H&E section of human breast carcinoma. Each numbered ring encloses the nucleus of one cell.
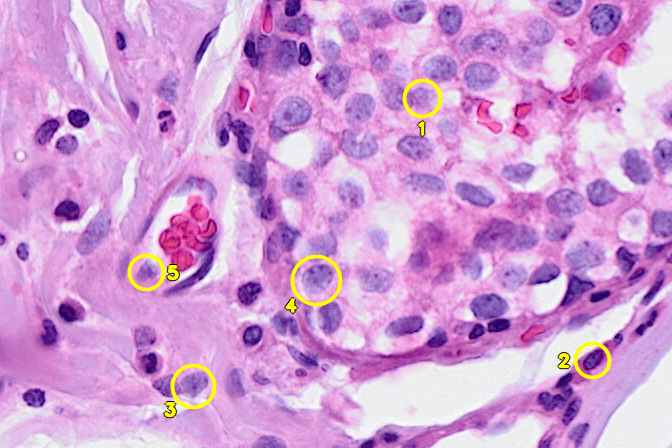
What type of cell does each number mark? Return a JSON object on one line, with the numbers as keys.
{"1": "carcinoma cell", "2": "mast cell", "3": "fibroblast", "4": "carcinoma cell", "5": "endothelial cell"}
